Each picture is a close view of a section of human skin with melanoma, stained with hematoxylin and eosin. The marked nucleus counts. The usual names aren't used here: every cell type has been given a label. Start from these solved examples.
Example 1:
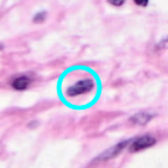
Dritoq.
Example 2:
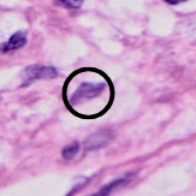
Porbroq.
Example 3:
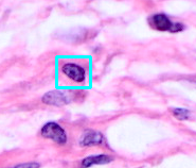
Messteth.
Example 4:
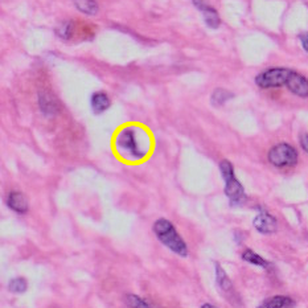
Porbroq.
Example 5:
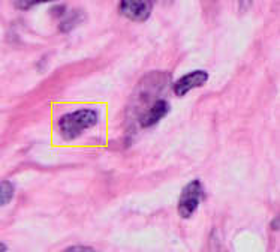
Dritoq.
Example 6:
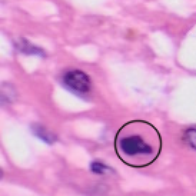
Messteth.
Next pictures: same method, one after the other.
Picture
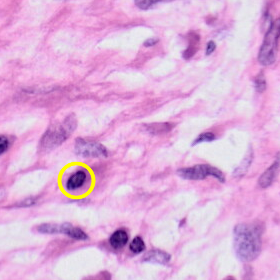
Messteth.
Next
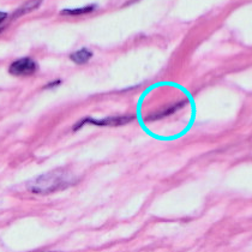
Porbroq.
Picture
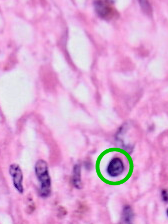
Dritoq.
